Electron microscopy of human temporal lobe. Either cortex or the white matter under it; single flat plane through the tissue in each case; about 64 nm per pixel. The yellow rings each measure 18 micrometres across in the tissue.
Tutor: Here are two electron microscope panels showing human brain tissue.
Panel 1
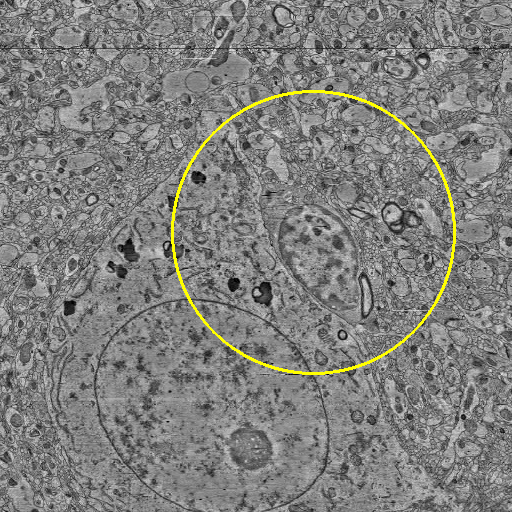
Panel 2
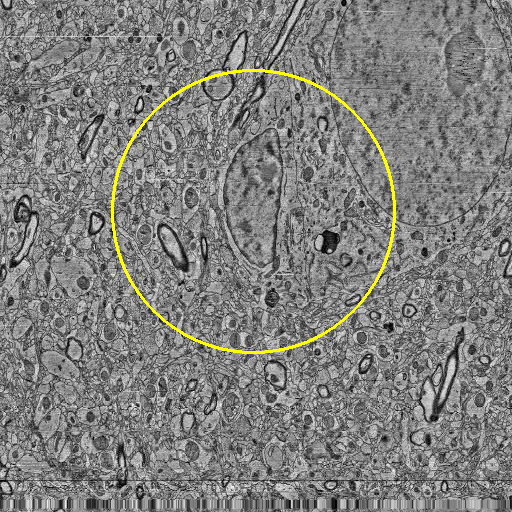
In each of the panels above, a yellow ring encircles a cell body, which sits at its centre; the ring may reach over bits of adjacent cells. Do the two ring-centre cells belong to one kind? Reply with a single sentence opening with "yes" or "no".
No, the two cells sitting at the ring centres in the panels belong to two kinds.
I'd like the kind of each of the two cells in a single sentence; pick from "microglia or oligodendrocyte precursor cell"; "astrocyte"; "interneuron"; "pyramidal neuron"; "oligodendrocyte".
The first ring marks an oligodendrocyte, and the second ring marks a microglial cell or oligodendrocyte precursor cell.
